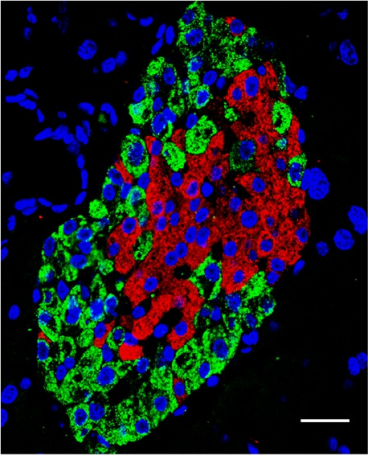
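The green cells lie mostly at the edge of the cluster, forming a mantle around the red core, though a few green cells reach inward. The cells are packed closely with little space between them. Outside the islet, scattered blue nuclei belong to the surrounding tissue, which has no red or green stain.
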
